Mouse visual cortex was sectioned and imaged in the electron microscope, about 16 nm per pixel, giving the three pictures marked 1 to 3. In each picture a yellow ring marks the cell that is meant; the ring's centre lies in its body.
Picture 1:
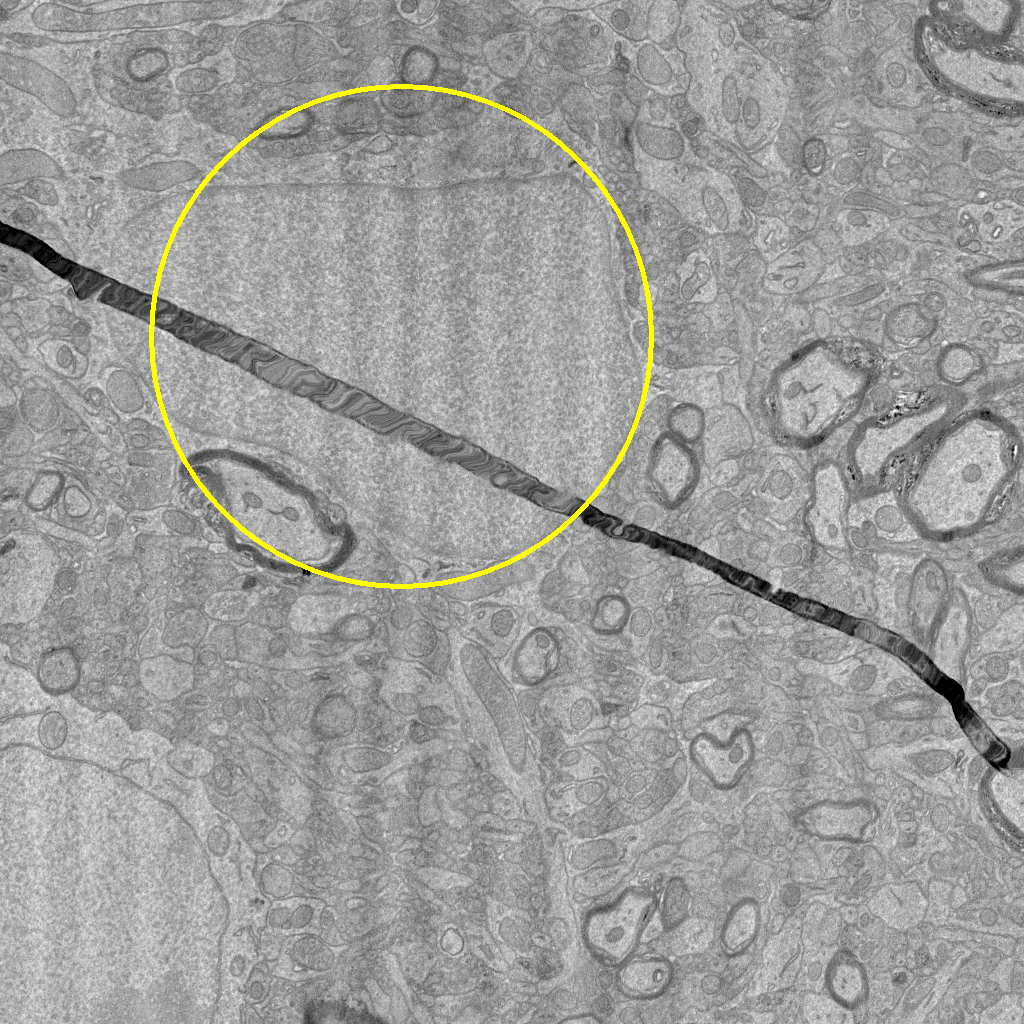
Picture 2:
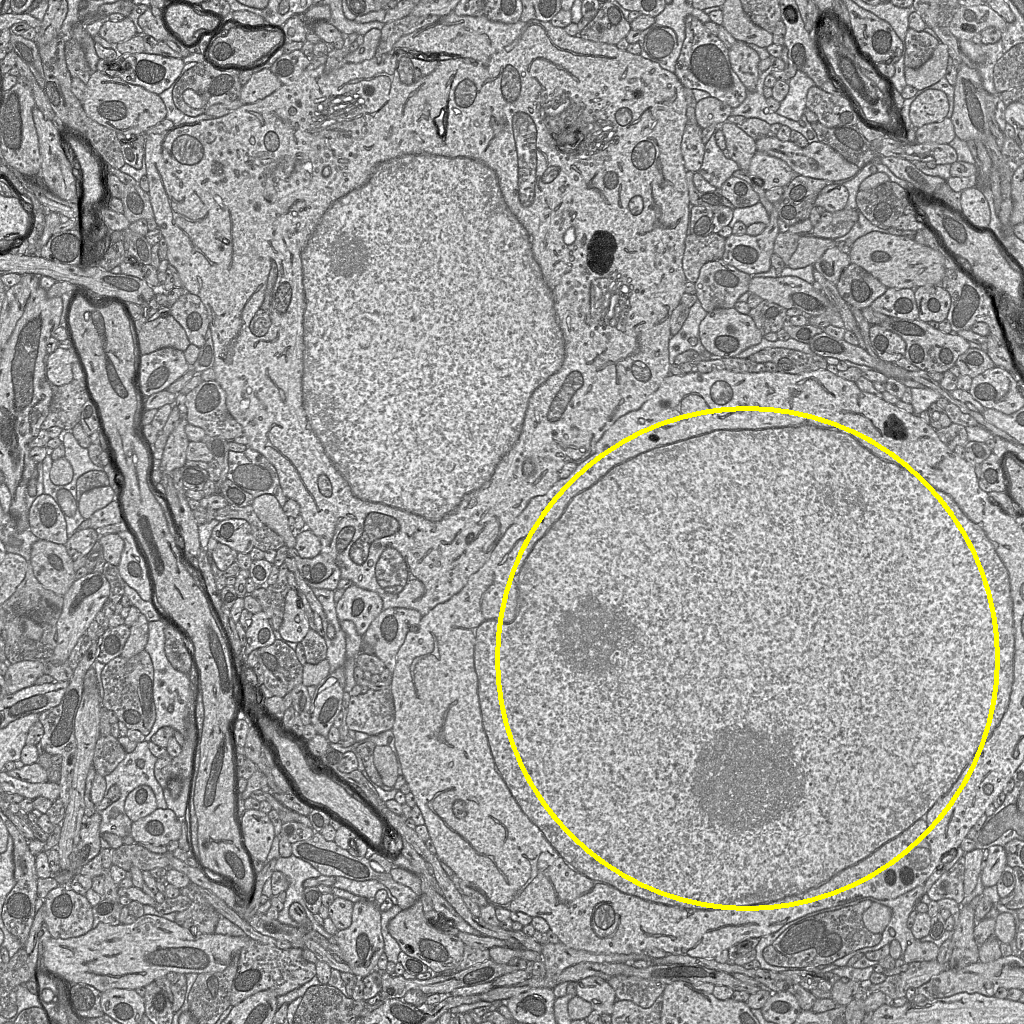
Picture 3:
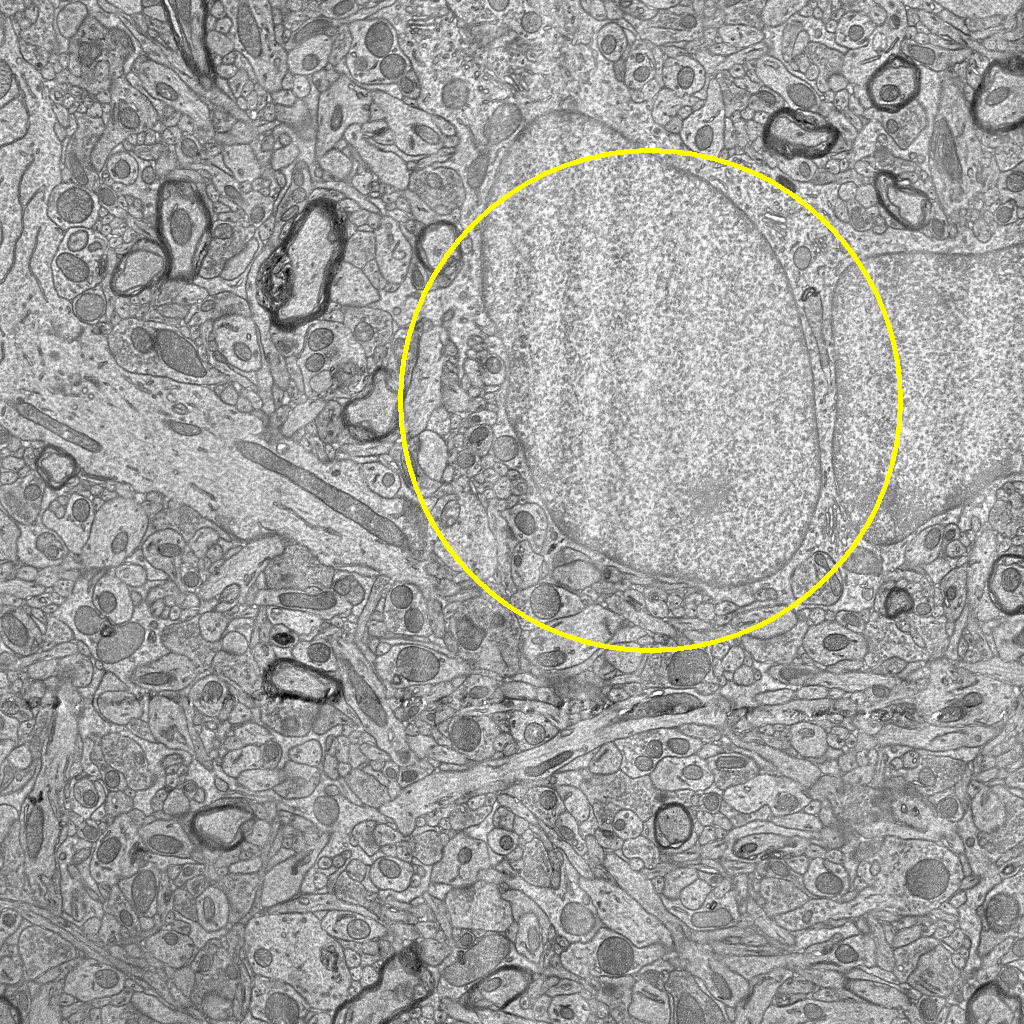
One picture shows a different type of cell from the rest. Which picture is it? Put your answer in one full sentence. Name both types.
Picture 2 differs, because its cell is an excitatory neuron and the rest are astrocytes.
